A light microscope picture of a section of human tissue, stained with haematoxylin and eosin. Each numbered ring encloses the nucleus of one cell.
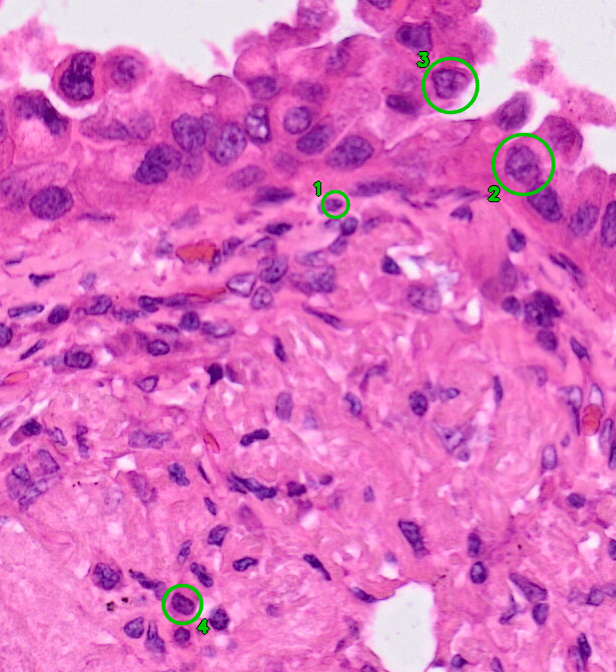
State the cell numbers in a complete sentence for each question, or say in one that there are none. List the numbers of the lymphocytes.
Cell 1 is a lymphocyte and is the only numbered cell of that kind.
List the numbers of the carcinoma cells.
The cells numbered 2 and 3 fall into the category of carcinoma cells.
